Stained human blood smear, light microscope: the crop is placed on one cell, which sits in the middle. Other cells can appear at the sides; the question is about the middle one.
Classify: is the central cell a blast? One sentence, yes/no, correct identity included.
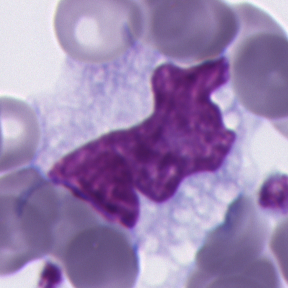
No, rather than being a blast, the central cell is a monocyte.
